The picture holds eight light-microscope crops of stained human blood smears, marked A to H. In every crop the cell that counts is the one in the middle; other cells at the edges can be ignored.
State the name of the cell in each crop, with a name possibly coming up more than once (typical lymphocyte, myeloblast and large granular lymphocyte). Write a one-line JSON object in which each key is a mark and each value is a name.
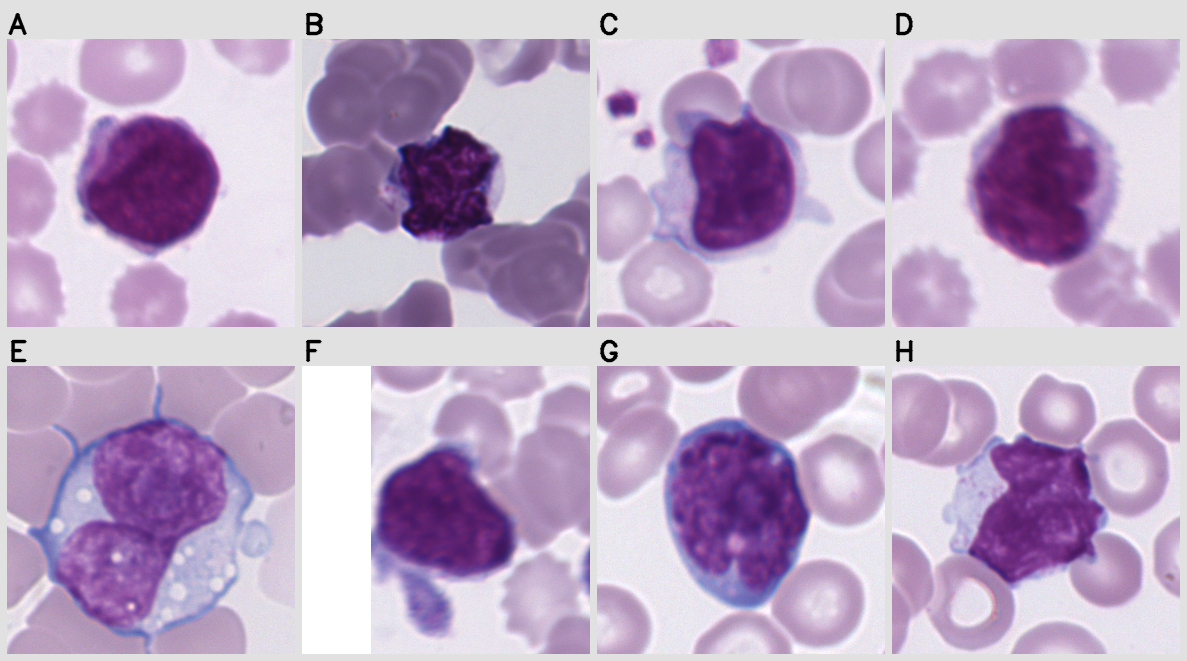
{"A": "myeloblast", "B": "myeloblast", "C": "typical lymphocyte", "D": "myeloblast", "E": "myeloblast", "F": "typical lymphocyte", "G": "myeloblast", "H": "large granular lymphocyte"}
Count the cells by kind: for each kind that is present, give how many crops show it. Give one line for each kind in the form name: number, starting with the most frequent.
myeloblast: 5
typical lymphocyte: 2
large granular lymphocyte: 1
